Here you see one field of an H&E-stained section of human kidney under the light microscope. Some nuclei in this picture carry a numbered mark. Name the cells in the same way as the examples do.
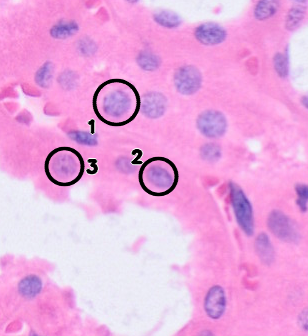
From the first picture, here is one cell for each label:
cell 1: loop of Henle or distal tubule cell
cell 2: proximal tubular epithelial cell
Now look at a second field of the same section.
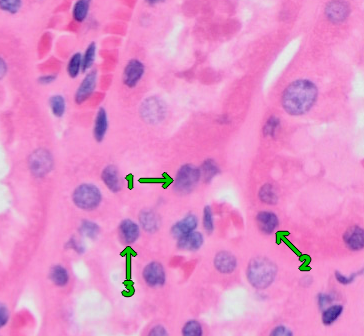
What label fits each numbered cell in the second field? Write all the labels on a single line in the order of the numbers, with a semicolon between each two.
proximal tubular epithelial cell; proximal tubular epithelial cell; loop of Henle or distal tubule cell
